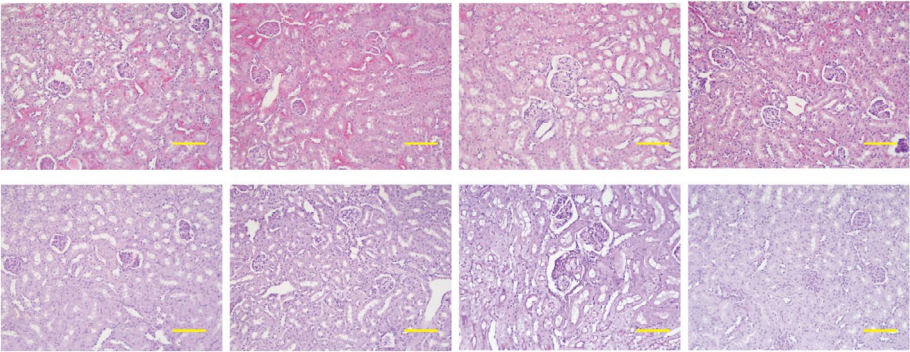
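Round glomeruli are scattered among the tubules, each a compact tuft of capillaries inside a clear Bowman's space. The surrounding tubules are cut mostly in cross section and show small open lumina lined by cuboidal epithelial cells.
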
